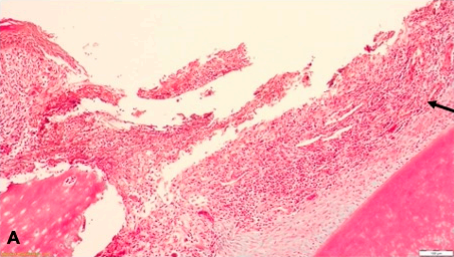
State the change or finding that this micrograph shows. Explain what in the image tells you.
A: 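Abundant inflammatory infiltrate. The connective tissue is densely packed with small, dark-stained nuclei. The crowded cells lie in the band of soft tissue beside the pink hard tissue.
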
